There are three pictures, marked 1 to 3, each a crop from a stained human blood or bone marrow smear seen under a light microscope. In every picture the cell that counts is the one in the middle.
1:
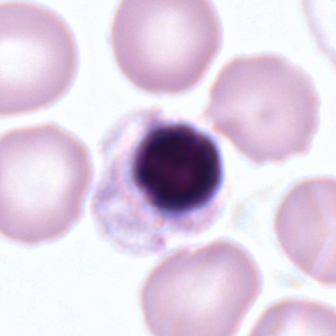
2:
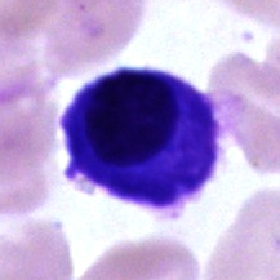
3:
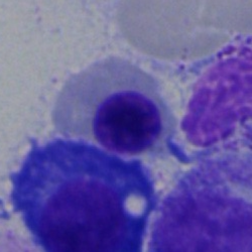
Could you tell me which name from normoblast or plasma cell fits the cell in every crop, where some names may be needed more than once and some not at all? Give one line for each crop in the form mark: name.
1: normoblast
2: plasma cell
3: normoblast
